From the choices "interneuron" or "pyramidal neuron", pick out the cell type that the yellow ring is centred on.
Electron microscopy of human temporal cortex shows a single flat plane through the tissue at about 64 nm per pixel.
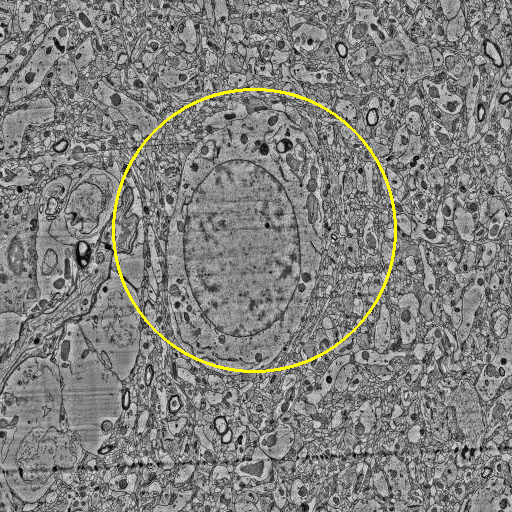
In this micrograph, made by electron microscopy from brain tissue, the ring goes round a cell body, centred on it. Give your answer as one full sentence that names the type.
The yellow ring is centred on a pyramidal neuron, whose cell body it encircles in the picture.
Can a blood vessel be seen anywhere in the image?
Yes, a vessel appears in the picture.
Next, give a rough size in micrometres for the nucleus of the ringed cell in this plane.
Roughly 11 micrometres long and 7 micrometres wide; in this plane the nucleus is clearly longer than it is wide.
